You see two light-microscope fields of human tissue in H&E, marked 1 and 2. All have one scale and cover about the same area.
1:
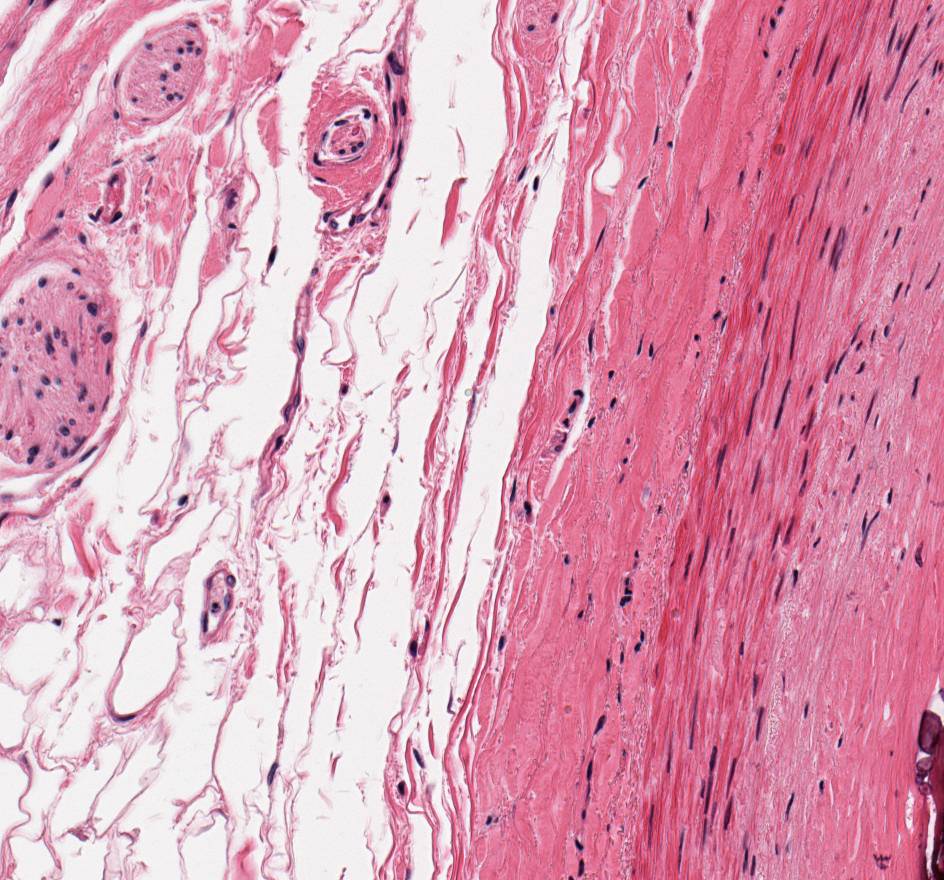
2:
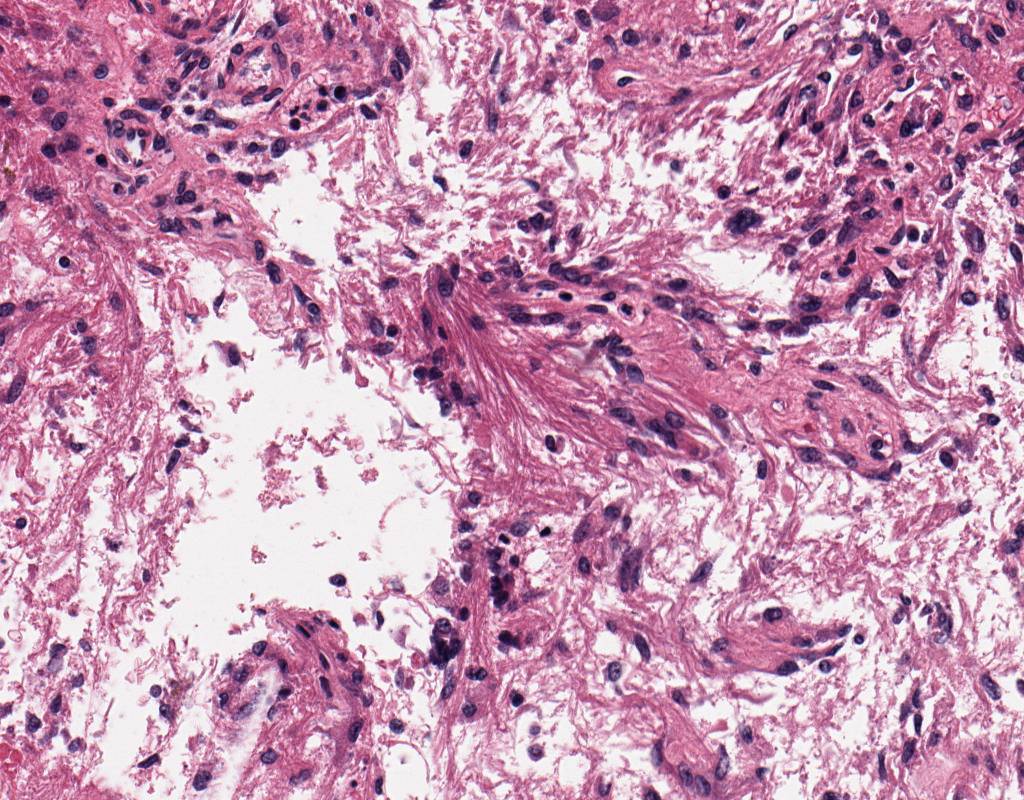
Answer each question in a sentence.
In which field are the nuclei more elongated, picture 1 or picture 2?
On the whole the nuclei of picture 1 are more drawn out than those of picture 2.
